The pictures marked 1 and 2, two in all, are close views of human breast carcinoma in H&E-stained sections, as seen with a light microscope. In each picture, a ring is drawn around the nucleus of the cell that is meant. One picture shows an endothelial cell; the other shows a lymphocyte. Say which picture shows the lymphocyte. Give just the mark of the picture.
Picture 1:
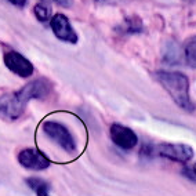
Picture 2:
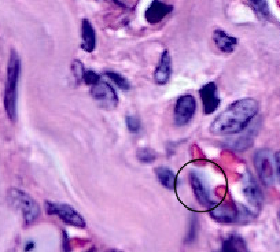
1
